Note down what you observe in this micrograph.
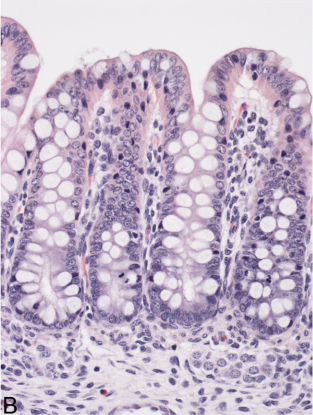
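Large intestinal mucosa with straight, parallel tubular crypts opening onto a flat surface lined by tall columnar epithelium with pink apical borders. The crypts are packed with goblet cells holding clear, pale mucin vacuoles, with dark basal nuclei along the crypt walls. Thin lamina propria lies between the crypts.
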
